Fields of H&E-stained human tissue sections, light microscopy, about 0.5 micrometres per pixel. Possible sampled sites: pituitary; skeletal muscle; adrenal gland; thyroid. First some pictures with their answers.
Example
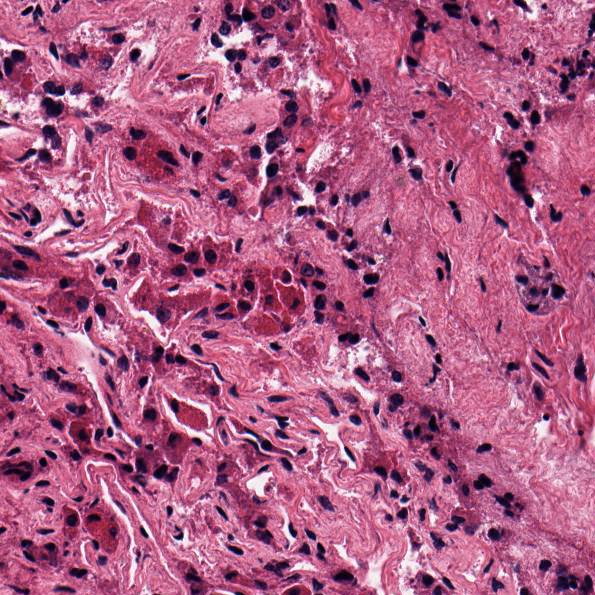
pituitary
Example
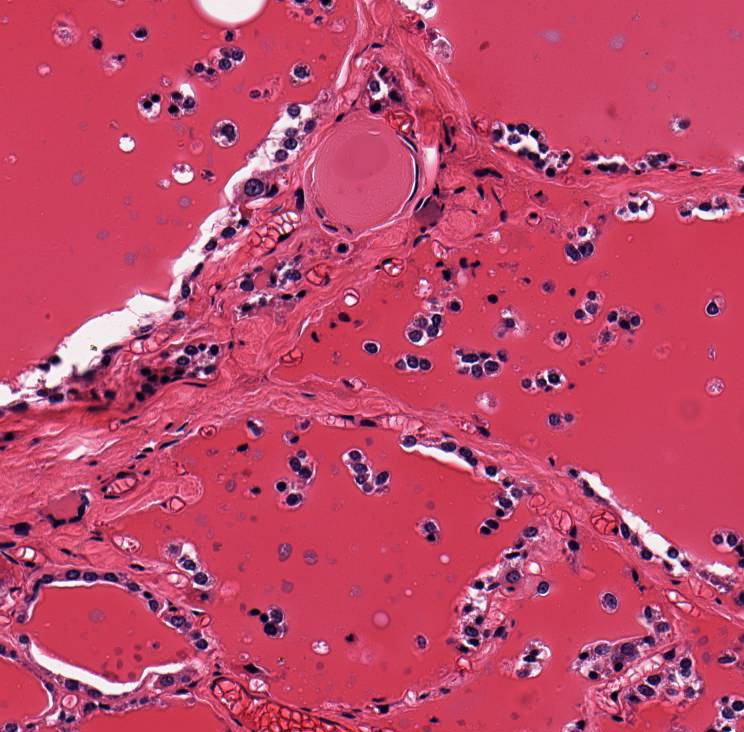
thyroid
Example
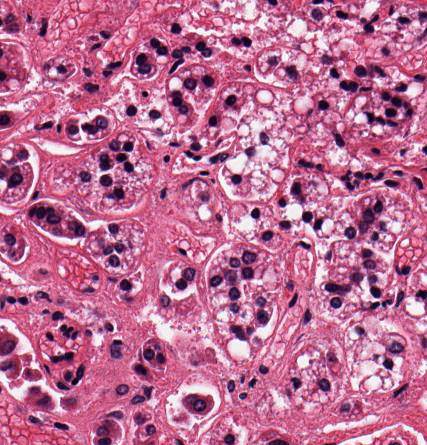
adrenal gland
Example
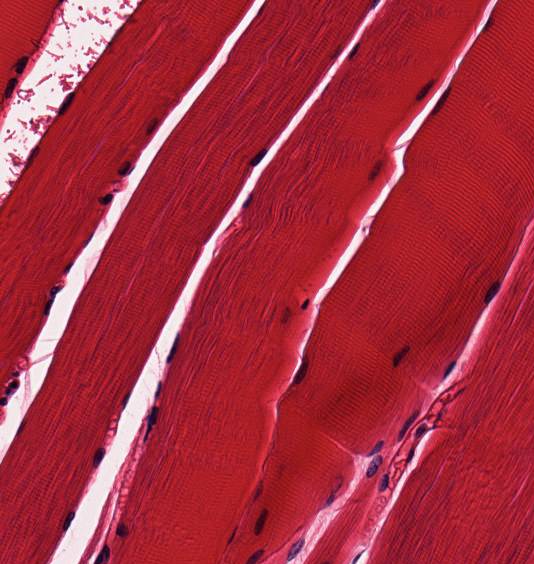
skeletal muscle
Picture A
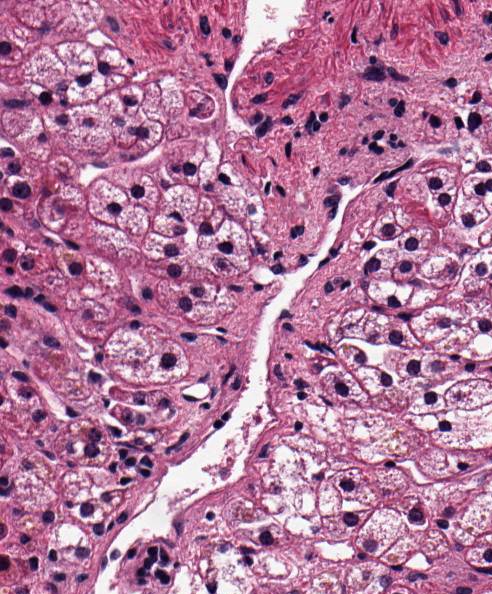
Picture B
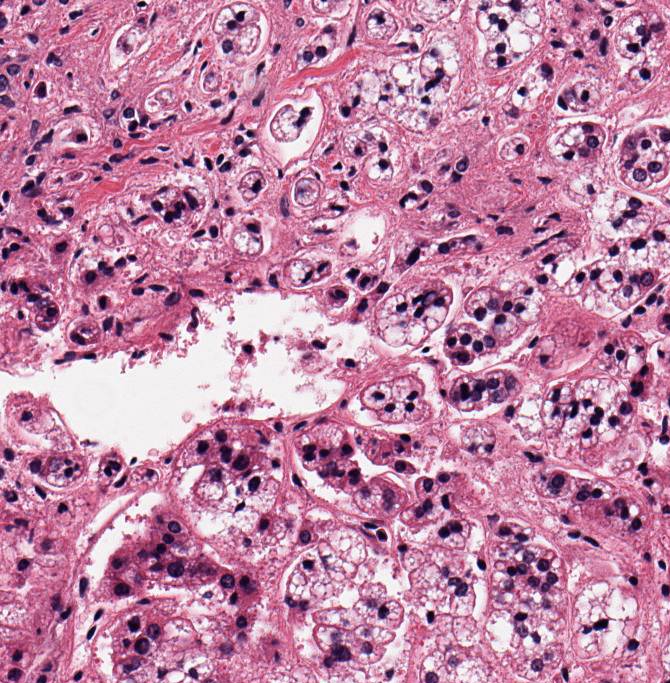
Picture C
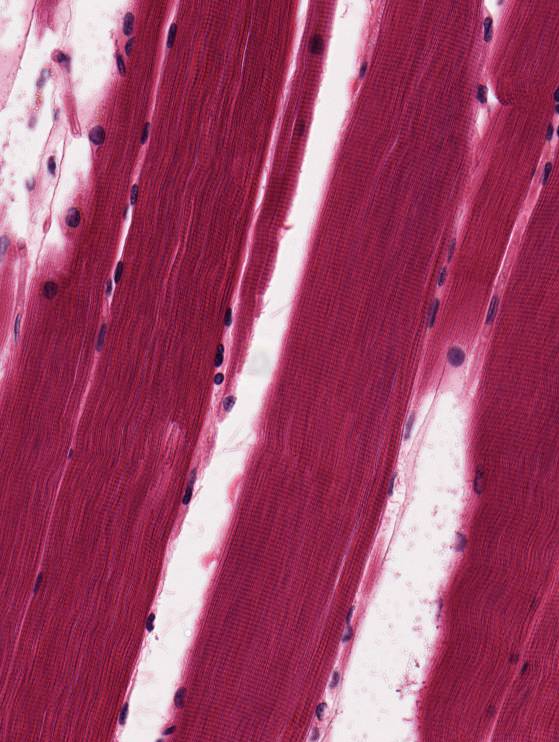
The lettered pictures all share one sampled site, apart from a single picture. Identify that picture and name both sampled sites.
Odd one out: C (skeletal muscle). The rest: adrenal gland.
